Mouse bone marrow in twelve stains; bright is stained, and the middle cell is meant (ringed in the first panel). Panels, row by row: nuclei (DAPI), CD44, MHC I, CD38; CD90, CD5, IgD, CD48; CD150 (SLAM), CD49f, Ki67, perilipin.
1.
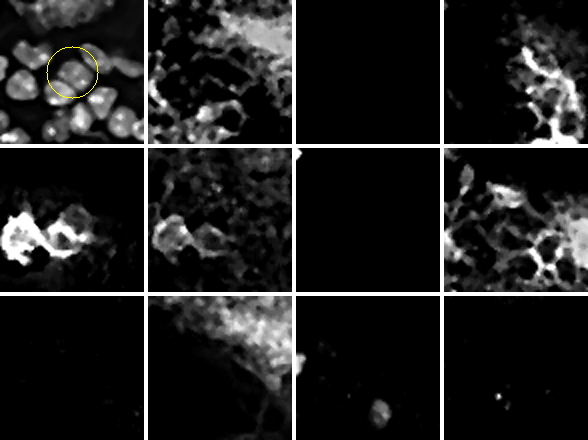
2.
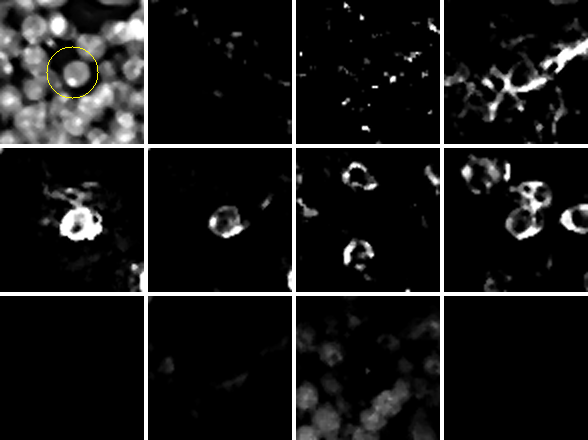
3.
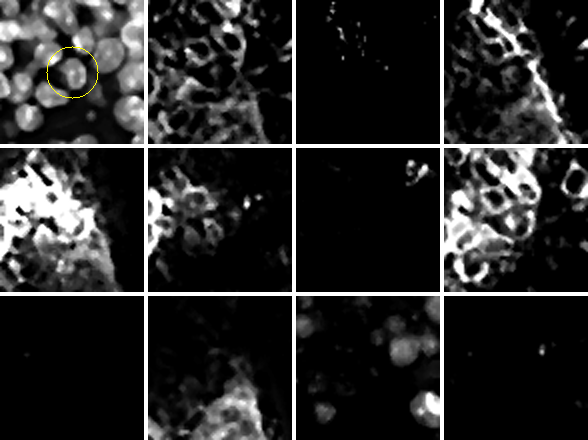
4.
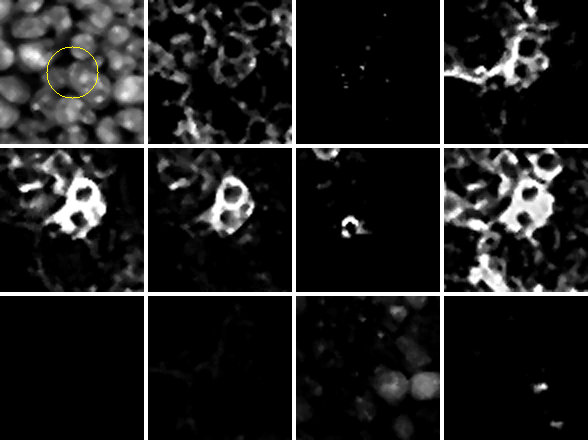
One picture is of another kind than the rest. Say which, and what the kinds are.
Picture 2 shows a T cell; the rest show capillary endothelial cells.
